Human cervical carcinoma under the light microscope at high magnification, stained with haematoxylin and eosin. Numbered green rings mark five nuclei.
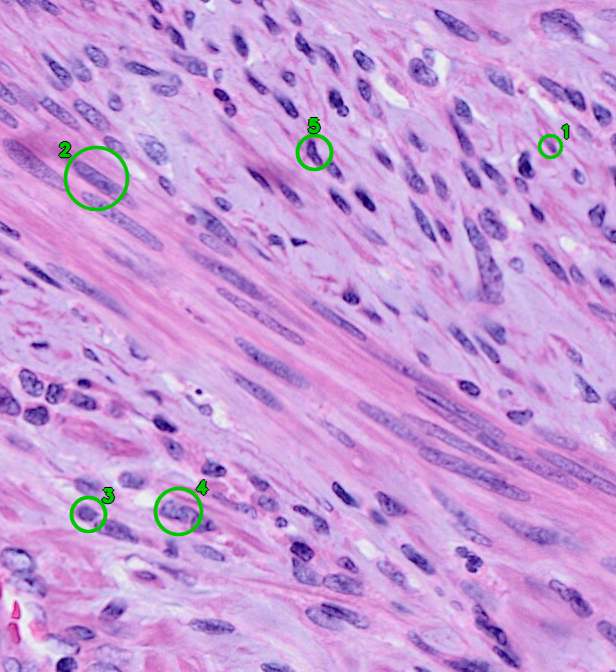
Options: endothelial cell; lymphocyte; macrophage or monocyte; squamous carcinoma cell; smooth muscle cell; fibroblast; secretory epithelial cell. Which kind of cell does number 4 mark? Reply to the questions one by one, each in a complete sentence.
The cell bearing label 4 corresponds to an endothelial cell.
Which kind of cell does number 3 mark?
Cell 3 is classified as a lymphocyte.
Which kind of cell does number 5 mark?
At number 5, the marked cell is a smooth muscle cell.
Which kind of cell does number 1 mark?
Cell number 1 in this section is a smooth muscle cell.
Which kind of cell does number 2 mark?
The cell numbered 2 has been identified as a smooth muscle cell.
